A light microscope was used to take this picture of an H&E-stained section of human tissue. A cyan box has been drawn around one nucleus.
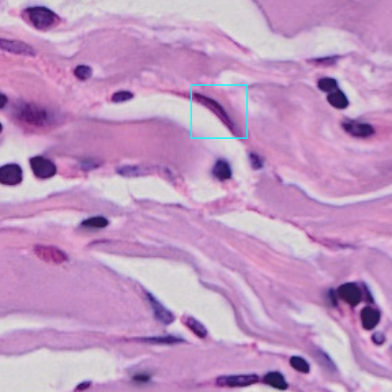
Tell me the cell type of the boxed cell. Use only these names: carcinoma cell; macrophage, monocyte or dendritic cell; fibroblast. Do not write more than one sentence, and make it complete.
The cell type represented by the boxed cell is that of a fibroblast.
